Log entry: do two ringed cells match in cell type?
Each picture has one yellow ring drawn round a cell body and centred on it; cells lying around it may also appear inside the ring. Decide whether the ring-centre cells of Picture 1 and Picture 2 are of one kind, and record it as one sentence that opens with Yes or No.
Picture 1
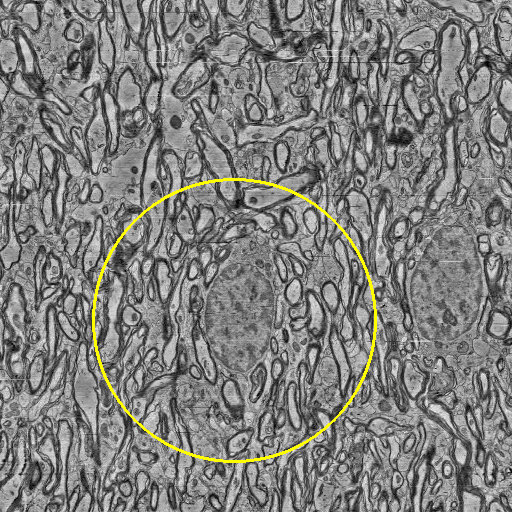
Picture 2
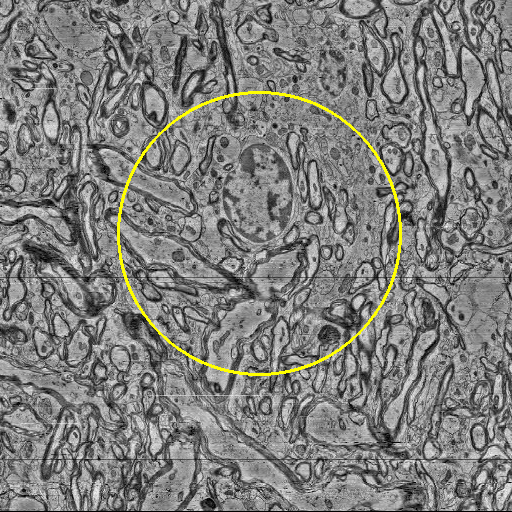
No, the cells at the ring centres of the two pictures belong to two kinds.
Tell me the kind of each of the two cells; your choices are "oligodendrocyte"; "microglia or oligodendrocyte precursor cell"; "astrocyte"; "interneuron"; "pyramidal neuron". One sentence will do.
The ringed cell is an oligodendrocyte in the first picture and a microglial cell or oligodendrocyte precursor cell in the second picture.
